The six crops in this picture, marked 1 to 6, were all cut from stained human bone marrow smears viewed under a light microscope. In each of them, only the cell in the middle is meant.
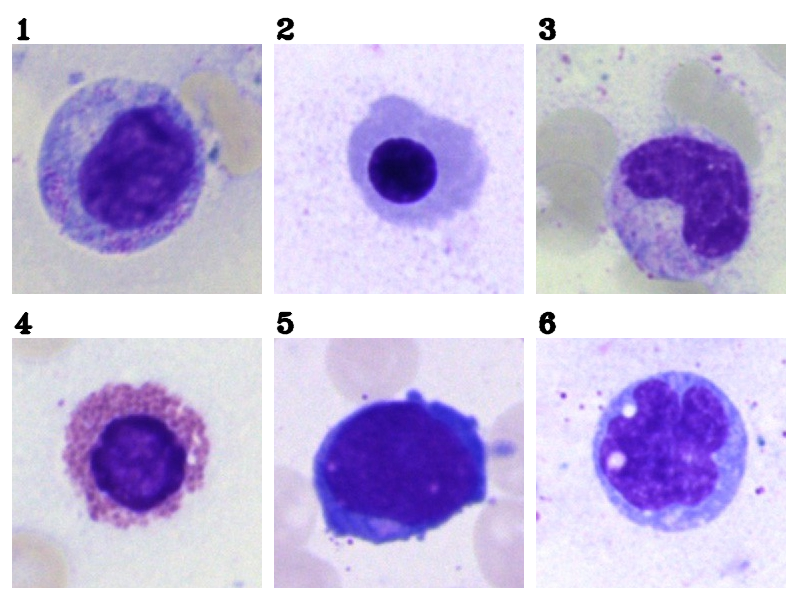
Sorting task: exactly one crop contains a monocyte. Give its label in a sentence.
The crop with a monocyte at its center is crop 6.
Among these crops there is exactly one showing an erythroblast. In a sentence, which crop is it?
The crop marked 2 is the one in which an erythroblast is shown.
